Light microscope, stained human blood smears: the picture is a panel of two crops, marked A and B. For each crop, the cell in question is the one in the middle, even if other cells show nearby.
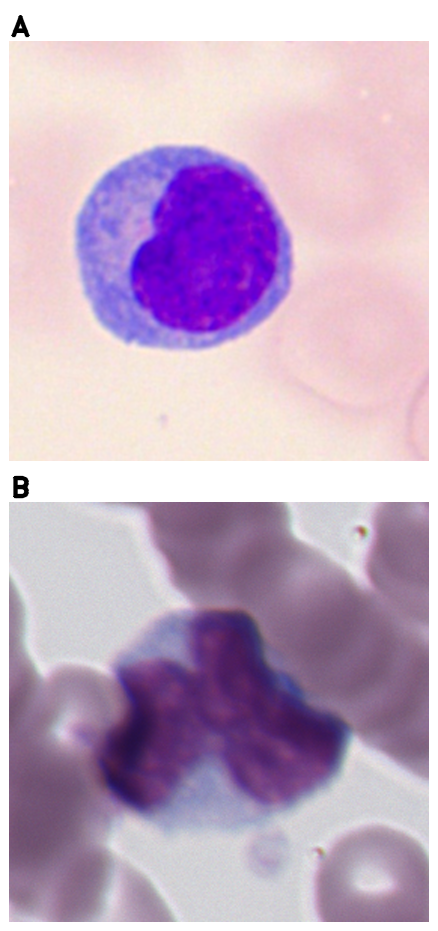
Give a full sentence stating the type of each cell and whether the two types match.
No, in crop A there is a lymphocyte, and in crop B there is a monocyte.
